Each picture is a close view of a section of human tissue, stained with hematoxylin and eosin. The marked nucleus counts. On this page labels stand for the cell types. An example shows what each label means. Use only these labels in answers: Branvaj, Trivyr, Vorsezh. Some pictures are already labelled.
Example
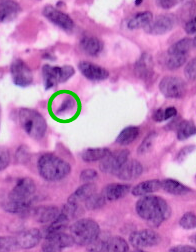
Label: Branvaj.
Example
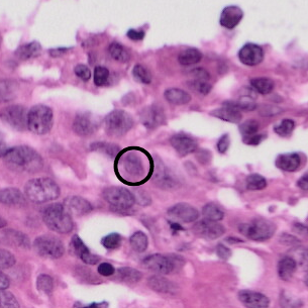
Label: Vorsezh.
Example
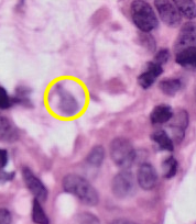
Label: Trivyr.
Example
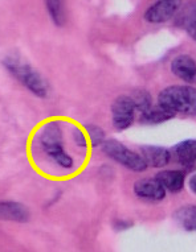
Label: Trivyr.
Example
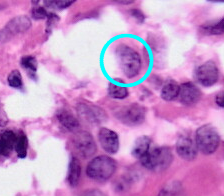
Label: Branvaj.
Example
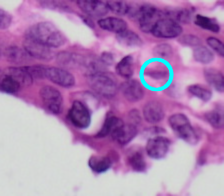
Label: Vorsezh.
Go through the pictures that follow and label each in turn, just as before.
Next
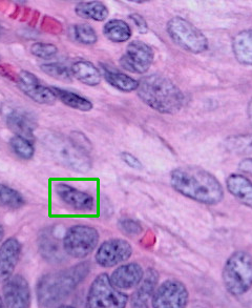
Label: Branvaj.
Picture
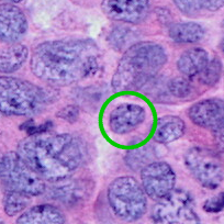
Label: Branvaj.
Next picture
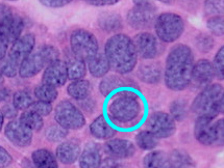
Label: Vorsezh.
